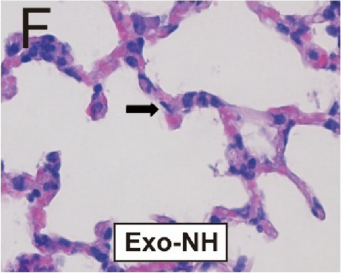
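This is lung parenchyma with open alveoli separated by thin septa. The air spaces are large and clear, and the walls between them are delicate, mostly one or two cells thick. Along the septa sit flattened lining cells and scattered cells with dark blue oval nuclei, while pink-red material within the walls marks capillaries holding red blood cells. Where several septa meet, small knots of cells gather. There is no dense cellular filling of the air spaces and the walls are not markedly thickened, so the branching alveolar framework is readily traced across the field.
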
